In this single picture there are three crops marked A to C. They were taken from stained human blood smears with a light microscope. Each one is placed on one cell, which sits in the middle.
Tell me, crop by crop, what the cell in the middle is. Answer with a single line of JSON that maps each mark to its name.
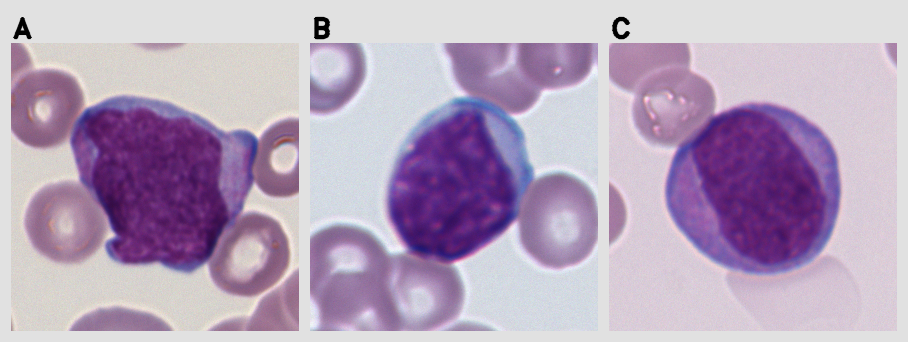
{"A": "atypical promyelocyte", "B": "myeloblast", "C": "atypical promyelocyte"}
